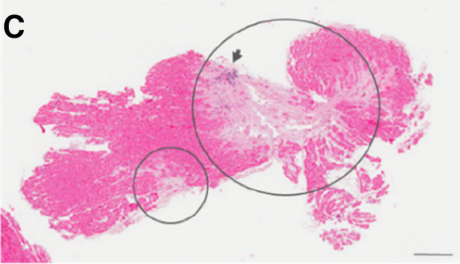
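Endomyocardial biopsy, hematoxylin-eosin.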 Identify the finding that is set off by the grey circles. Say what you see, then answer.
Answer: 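Inside the circles the tissue is paler and less intensely pink than the surrounding muscle.
Hence: replacement fibrosis.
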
